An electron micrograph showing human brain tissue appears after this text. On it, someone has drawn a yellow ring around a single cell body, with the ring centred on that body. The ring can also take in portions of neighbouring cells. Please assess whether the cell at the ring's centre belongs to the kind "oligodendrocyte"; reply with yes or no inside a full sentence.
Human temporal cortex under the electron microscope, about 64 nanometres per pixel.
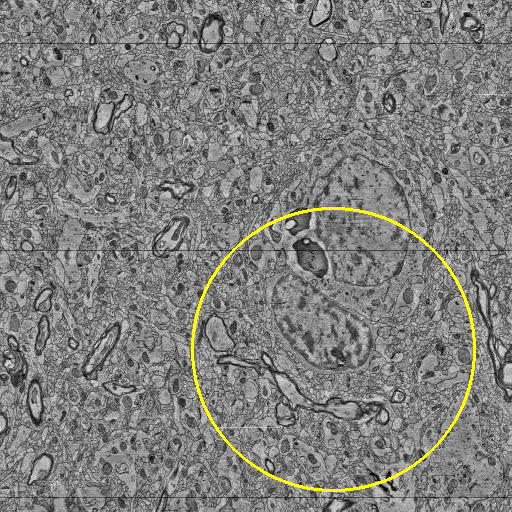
Yes, in this micrograph the cell at the centre of the ring is of that kind.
